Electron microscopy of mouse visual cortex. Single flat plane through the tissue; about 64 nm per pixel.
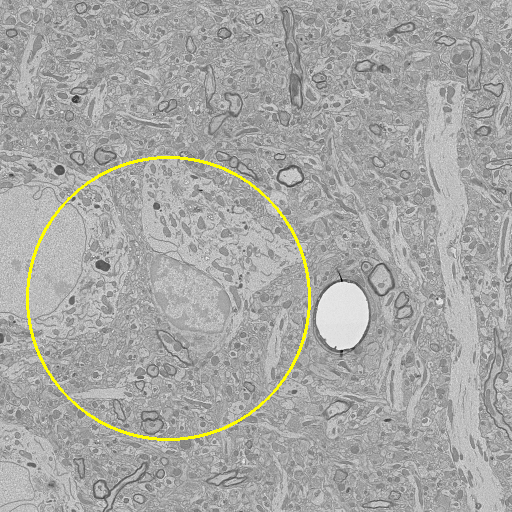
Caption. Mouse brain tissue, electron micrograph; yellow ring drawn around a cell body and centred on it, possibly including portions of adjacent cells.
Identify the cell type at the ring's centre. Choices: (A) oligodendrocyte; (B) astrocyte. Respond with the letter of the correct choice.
A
